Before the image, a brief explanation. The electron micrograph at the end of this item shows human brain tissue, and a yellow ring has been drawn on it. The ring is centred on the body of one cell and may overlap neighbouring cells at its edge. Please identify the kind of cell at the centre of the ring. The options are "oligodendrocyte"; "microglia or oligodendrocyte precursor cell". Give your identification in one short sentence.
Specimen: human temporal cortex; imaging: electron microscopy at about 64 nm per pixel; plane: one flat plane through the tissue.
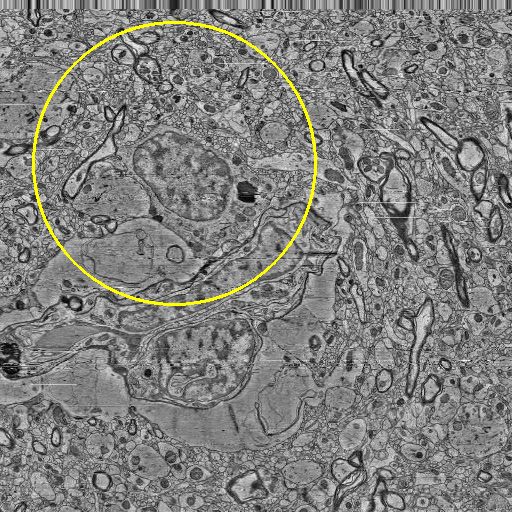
The ring has been placed around an oligodendrocyte.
